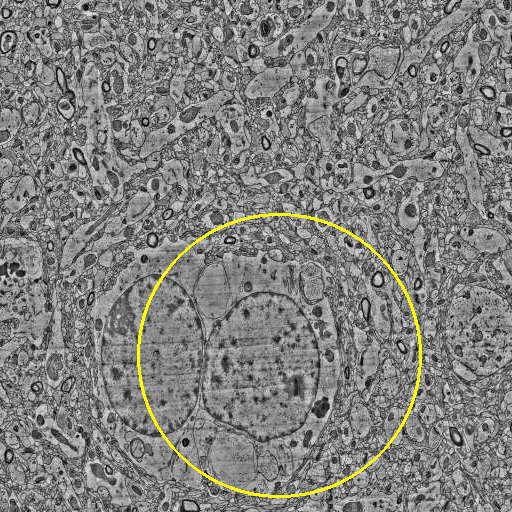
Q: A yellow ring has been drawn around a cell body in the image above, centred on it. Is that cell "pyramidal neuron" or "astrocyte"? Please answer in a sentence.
The ring surrounds the cell body of an astrocyte.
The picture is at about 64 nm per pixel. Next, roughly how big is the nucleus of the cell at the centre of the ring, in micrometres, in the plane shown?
In this plane, the nucleus of the cell at the centre of the ring measures about 10 by 7 micrometres.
